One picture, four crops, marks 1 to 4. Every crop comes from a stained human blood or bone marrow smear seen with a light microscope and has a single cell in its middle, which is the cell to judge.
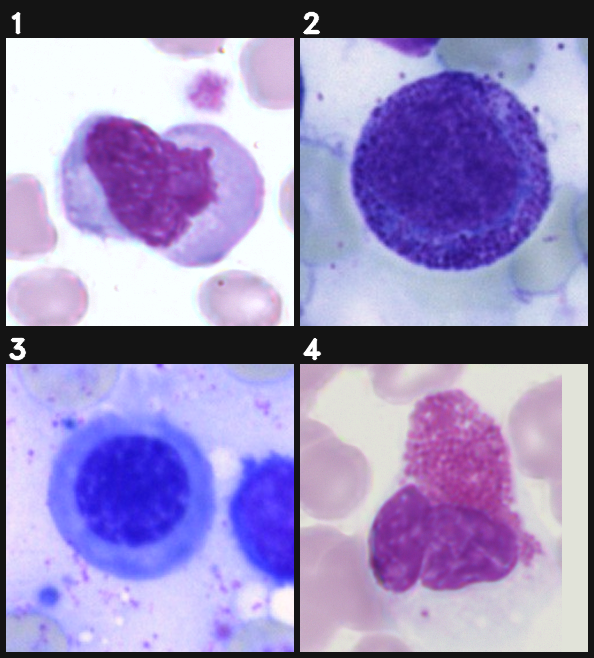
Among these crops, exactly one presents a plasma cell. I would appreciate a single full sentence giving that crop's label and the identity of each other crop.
Placed in the middle of crop 1 is a plasma cell, while crop 2 is a promyelocyte, crop 3 is an erythroblast and crop 4 is an eosinophil.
